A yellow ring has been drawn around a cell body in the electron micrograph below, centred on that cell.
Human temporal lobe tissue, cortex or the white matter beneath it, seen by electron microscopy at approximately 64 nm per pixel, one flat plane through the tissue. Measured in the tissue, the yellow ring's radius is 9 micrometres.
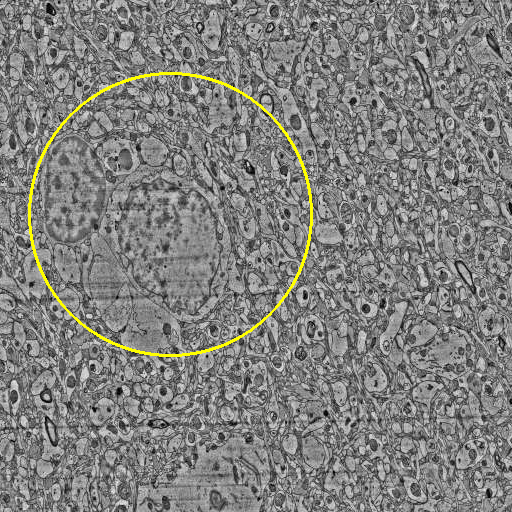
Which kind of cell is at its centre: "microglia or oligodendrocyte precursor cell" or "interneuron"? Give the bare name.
interneuron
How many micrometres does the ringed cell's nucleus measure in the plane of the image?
Approximately 9 micrometres long and 6 micrometres wide, in this plane.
